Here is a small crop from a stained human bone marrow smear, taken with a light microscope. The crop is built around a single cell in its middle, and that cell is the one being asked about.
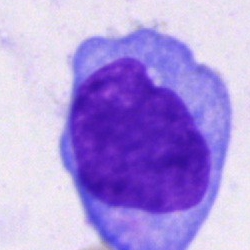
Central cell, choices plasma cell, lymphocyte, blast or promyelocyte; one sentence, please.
The centered cell in this crop is a blast.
